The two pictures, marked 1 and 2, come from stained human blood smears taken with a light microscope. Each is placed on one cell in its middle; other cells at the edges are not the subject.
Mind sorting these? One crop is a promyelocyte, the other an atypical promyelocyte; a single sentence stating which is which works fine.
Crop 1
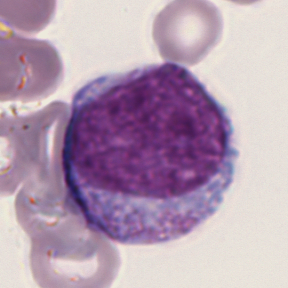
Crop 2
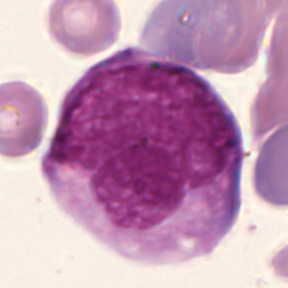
Here crop 1 is a promyelocyte, and crop 2 is an atypical promyelocyte.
